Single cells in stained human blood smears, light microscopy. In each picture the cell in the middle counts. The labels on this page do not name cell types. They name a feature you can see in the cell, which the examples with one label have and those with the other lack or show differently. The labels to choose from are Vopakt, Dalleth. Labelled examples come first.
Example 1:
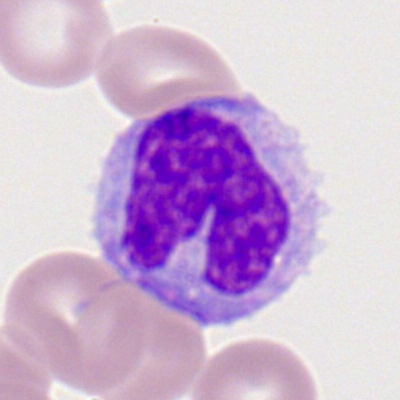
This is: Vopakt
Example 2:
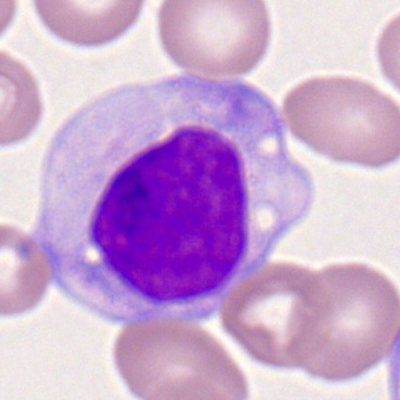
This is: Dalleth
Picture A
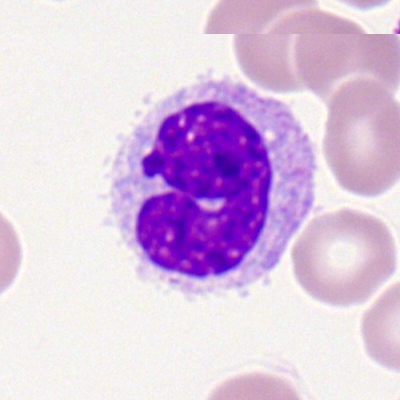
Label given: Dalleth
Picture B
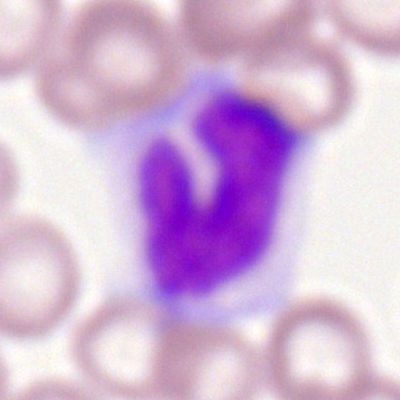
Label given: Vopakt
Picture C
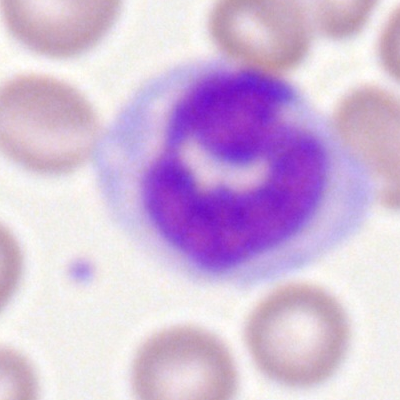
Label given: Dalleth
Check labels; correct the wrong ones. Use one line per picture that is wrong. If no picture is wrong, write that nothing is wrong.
Wrong: A (Dalleth); correct: Vopakt
Wrong: C (Dalleth); correct: Vopakt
